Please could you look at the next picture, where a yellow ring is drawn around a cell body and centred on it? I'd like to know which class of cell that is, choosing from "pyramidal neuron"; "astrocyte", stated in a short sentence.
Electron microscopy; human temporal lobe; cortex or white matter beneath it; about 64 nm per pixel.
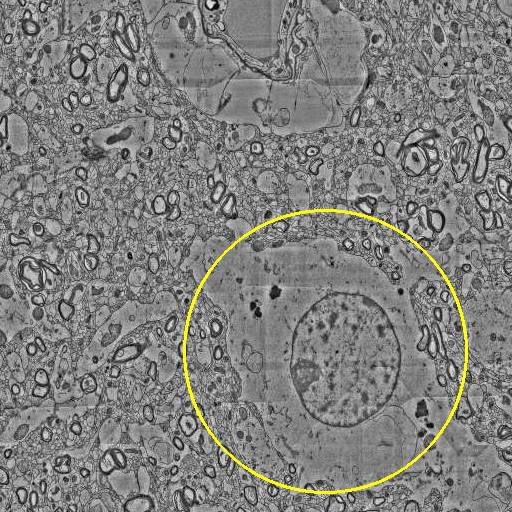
The ring's centre lies on an astrocyte.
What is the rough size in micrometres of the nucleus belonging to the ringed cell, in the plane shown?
In this plane the nucleus is about 9 micrometres by 7.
